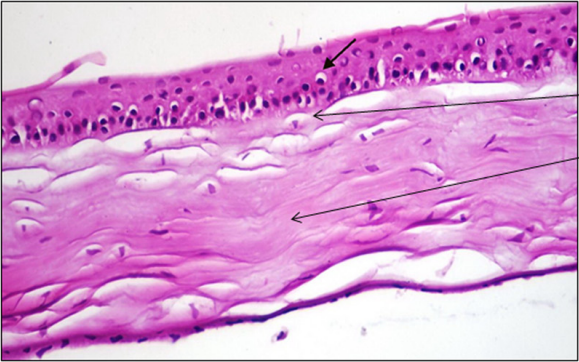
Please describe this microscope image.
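This is cornea again, showing the stratified surface epithelium above and the stroma below. Many epithelial cells, especially in the deeper rows, show clear unstained spaces around their nuclei, which is vacuolation of the epithelium. The stroma looks swollen and denser, with its lamellae merged into a more homogeneous, deeper pink mass in the middle. A flat cell layer lines the lower surface.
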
